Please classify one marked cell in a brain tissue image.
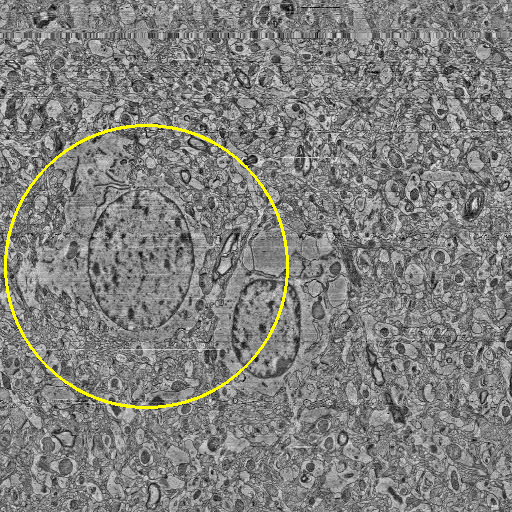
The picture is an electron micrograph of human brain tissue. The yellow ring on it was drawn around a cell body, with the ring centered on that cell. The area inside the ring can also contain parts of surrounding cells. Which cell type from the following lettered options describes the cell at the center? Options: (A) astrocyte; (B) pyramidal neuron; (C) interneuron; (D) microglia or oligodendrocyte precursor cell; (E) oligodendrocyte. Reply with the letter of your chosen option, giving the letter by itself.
A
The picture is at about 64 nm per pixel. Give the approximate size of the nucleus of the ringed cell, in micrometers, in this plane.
In this plane, the nucleus of the cell at the centre of the ring measures about 10 by 7 micrometres.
